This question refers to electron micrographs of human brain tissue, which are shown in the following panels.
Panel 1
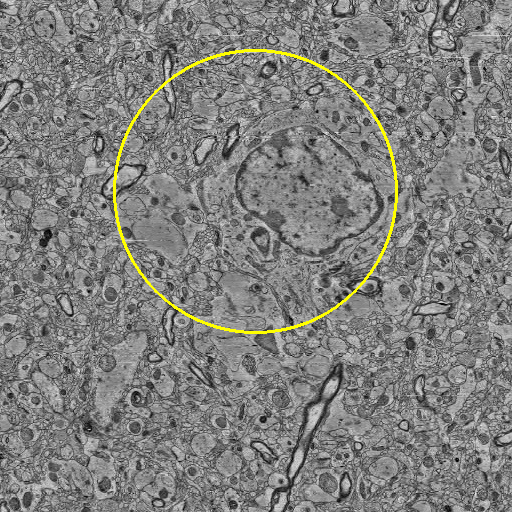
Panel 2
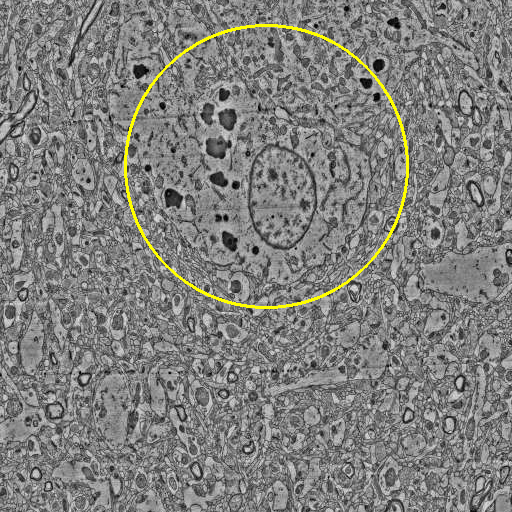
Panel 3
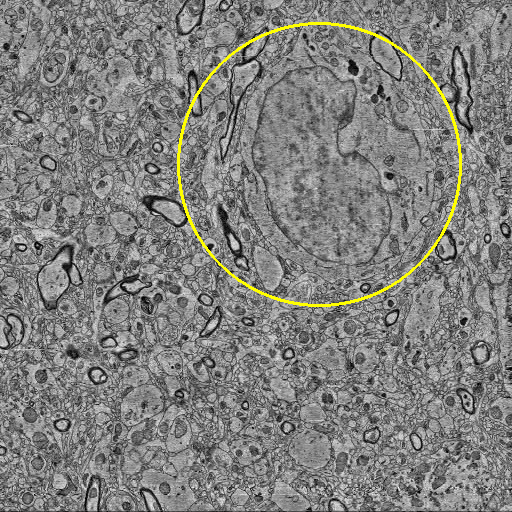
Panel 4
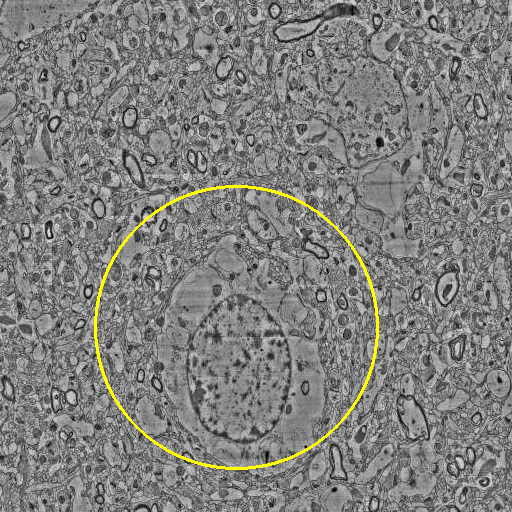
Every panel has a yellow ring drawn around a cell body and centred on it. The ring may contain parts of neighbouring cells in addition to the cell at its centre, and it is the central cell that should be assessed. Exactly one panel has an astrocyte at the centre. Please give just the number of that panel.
4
